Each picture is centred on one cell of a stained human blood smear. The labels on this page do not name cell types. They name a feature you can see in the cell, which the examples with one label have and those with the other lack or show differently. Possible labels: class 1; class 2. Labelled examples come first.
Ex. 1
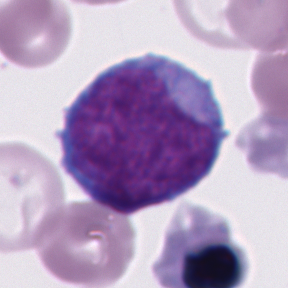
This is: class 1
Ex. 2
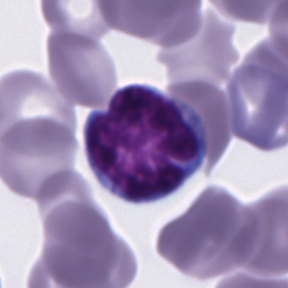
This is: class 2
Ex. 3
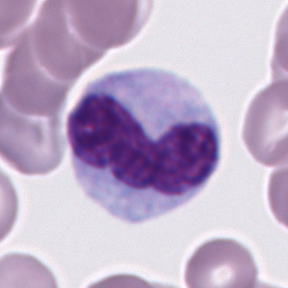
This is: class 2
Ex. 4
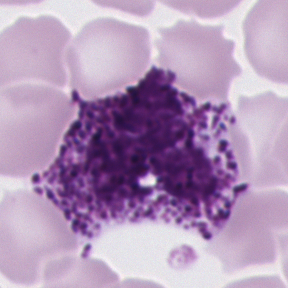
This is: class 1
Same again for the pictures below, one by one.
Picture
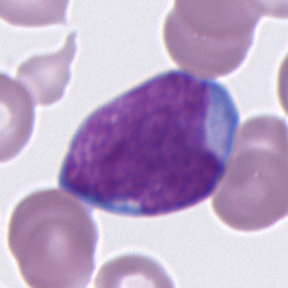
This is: class 2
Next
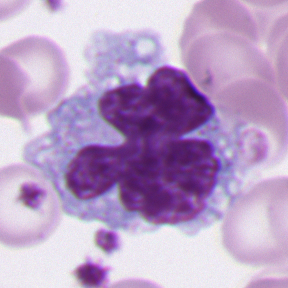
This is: class 1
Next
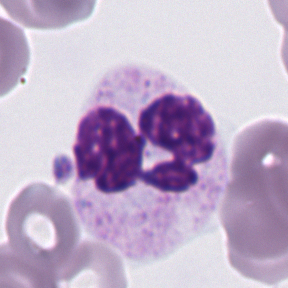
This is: class 2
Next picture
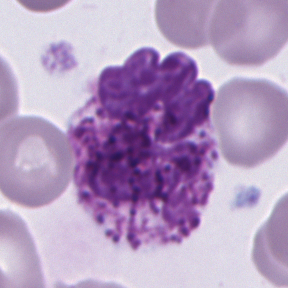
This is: class 1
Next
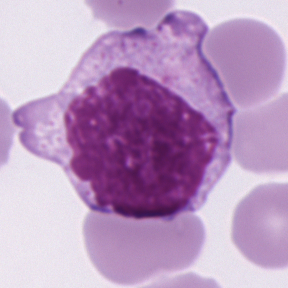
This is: class 1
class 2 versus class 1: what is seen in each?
In class 2: smooth outline. In class 1: ragged outline or projections.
